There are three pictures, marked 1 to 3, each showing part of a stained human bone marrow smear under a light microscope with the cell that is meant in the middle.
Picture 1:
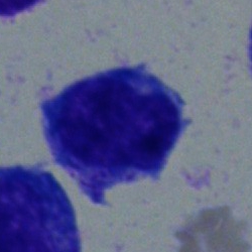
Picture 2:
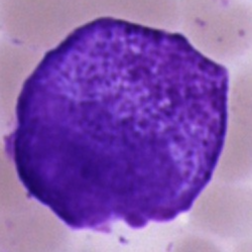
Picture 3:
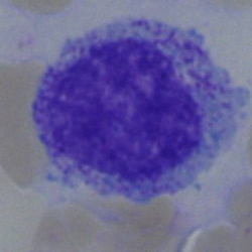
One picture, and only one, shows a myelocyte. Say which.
3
